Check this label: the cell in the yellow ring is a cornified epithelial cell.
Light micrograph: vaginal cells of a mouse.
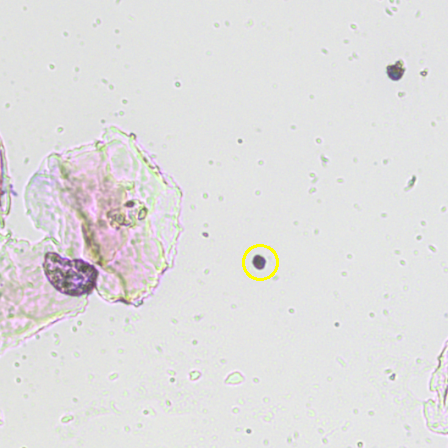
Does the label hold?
The label does not hold; the cell is a leukocyte.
